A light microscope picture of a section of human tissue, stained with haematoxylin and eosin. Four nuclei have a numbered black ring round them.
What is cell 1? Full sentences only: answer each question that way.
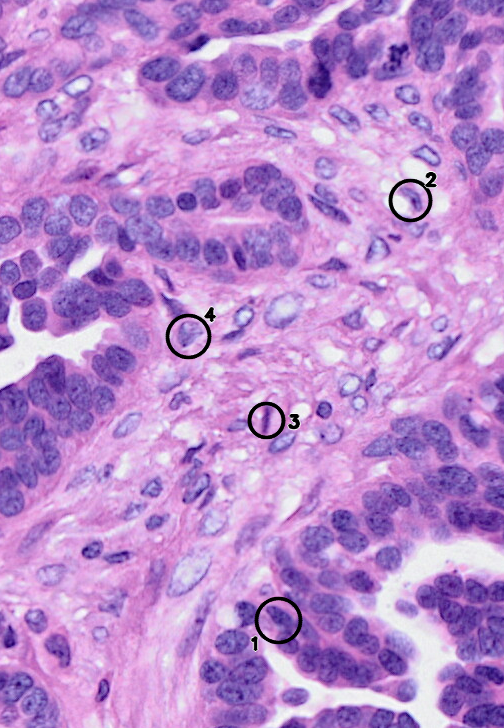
The nucleus labelled 1 belongs to a carcinoma cell.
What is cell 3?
The cell carrying label 3 is identified as a fibroblast.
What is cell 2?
The numbered cell 2 in this field is a fibroblast.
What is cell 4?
Cell number 4 in this section is a fibroblast.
